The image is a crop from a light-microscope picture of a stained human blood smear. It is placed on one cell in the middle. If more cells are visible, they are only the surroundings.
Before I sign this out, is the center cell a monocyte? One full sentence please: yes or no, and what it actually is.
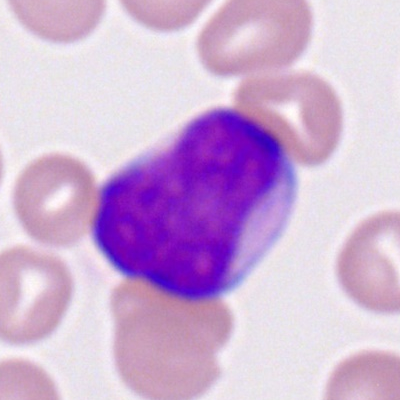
No, the cell in the middle is categorised as a myeloblast, not a monocyte.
